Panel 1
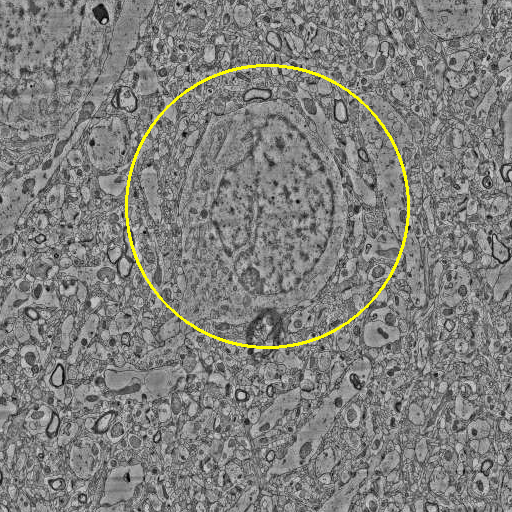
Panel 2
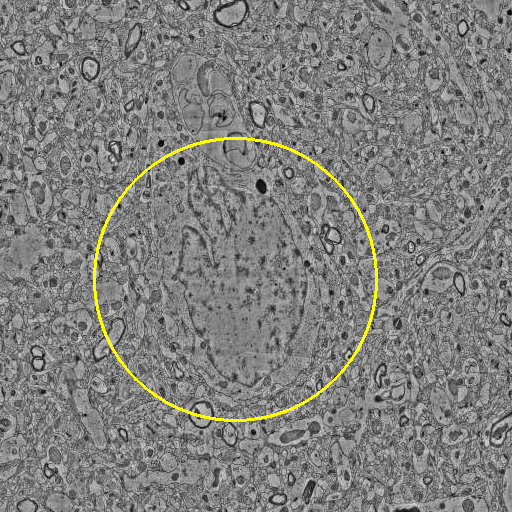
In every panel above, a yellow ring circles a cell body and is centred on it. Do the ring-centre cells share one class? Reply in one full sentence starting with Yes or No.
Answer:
Yes, the two cells at the ring centres in the panels belong to one class.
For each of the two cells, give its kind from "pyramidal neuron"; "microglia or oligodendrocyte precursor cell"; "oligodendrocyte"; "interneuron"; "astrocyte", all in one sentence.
In each of the two pictures, the ringed cell is an interneuron.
